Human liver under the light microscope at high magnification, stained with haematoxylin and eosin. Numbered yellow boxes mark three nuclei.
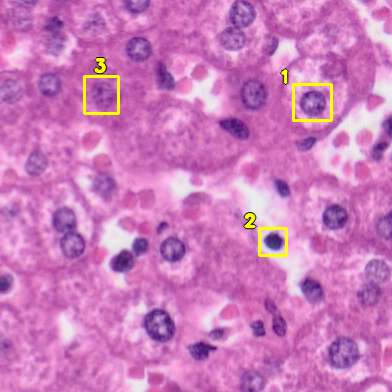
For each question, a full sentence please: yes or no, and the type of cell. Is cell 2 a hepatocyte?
No; cell 2 is a lymphocyte, not a hepatocyte.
